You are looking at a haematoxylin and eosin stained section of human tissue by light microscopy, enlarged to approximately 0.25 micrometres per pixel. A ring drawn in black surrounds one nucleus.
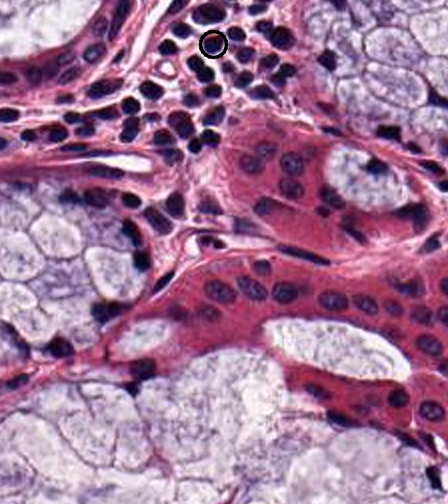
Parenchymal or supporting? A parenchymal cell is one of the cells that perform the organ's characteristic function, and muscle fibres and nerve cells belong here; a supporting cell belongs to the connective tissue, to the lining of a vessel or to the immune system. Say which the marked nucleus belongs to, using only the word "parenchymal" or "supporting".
supporting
